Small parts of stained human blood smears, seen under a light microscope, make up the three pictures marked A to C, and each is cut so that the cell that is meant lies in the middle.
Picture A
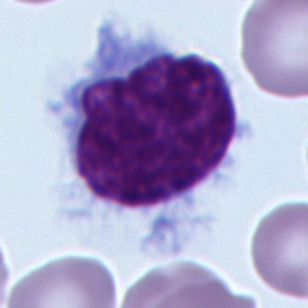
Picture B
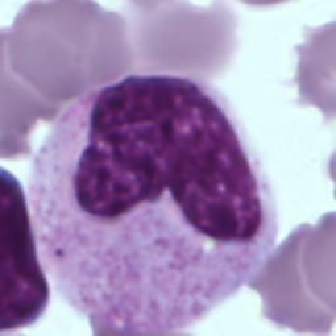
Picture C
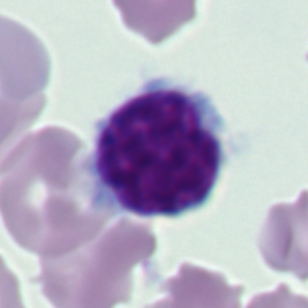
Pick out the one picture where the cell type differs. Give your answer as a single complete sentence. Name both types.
The different one is picture B; it shows a band neutrophil, whereas all the others show hairy cells.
